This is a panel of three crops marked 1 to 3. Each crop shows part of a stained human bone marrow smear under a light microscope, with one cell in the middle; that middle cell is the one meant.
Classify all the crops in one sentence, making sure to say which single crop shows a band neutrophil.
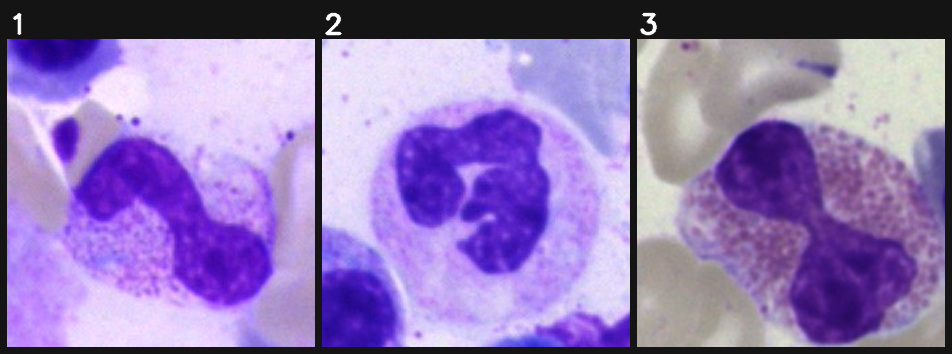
Crop 1 shows a band neutrophil in its middle, while crop 2 is a segmented neutrophil and crop 3 is an eosinophil.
